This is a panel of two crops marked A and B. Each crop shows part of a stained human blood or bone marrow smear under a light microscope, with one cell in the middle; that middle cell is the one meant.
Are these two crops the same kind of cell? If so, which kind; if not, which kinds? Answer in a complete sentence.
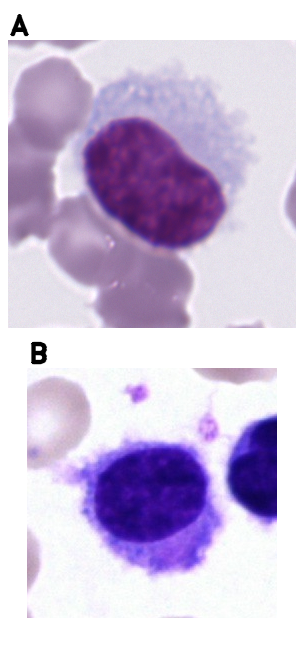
Yes, the middle cells in both crops are indeed hairy cells.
